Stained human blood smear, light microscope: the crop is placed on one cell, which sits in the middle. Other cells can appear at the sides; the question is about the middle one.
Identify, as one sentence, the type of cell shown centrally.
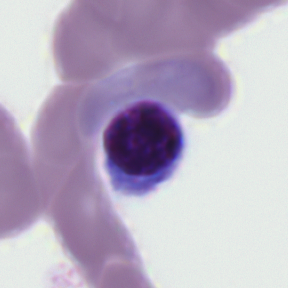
The crop shows a plasma cell in its centre.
